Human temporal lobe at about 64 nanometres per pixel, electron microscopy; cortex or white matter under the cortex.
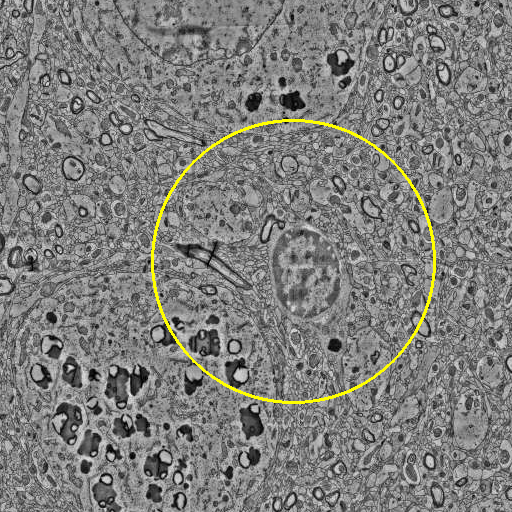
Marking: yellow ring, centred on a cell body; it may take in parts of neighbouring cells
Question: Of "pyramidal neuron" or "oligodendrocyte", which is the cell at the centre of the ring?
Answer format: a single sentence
The ring surrounds the body of an oligodendrocyte.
